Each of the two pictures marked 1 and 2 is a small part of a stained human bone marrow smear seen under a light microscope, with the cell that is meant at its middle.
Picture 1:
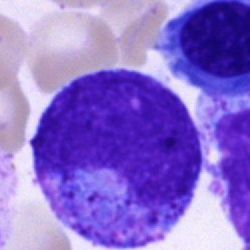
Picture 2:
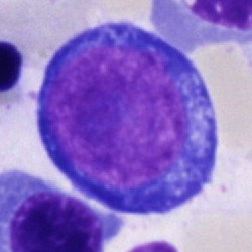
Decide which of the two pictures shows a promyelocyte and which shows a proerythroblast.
1: promyelocyte
2: proerythroblast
